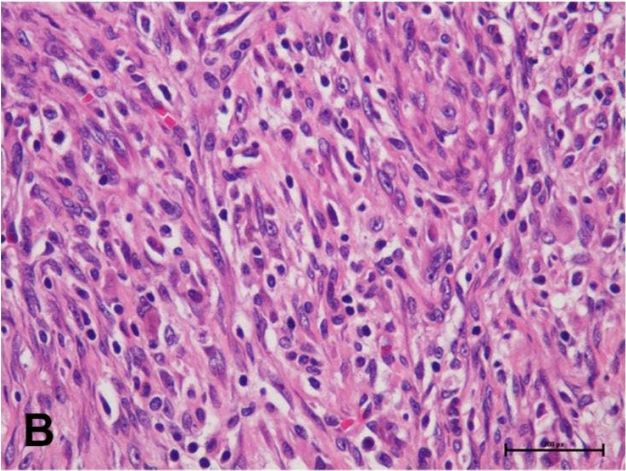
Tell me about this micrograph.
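This is a tumor made of spindle cells set in an inflammatory background. The spindle cells have elongated to oval, vesicular nuclei, some with small nucleoli, and moderate amounts of pale pink cytoplasm with indistinct cell borders. They are arranged in loose fascicles that stream in different directions. Scattered among the spindle cells are smaller inflammatory cells with round dark nuclei, some with eccentric nuclei and more cytoplasm. A few red blood cells are seen in small vessels. Marked nuclear pleomorphism or necrosis is not evident in this field.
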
